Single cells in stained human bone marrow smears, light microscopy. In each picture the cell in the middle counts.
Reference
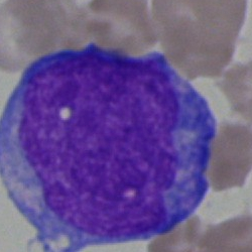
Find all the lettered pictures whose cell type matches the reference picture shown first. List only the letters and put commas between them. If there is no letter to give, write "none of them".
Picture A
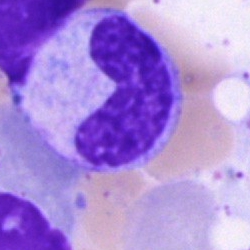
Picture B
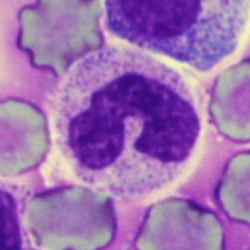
none of them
